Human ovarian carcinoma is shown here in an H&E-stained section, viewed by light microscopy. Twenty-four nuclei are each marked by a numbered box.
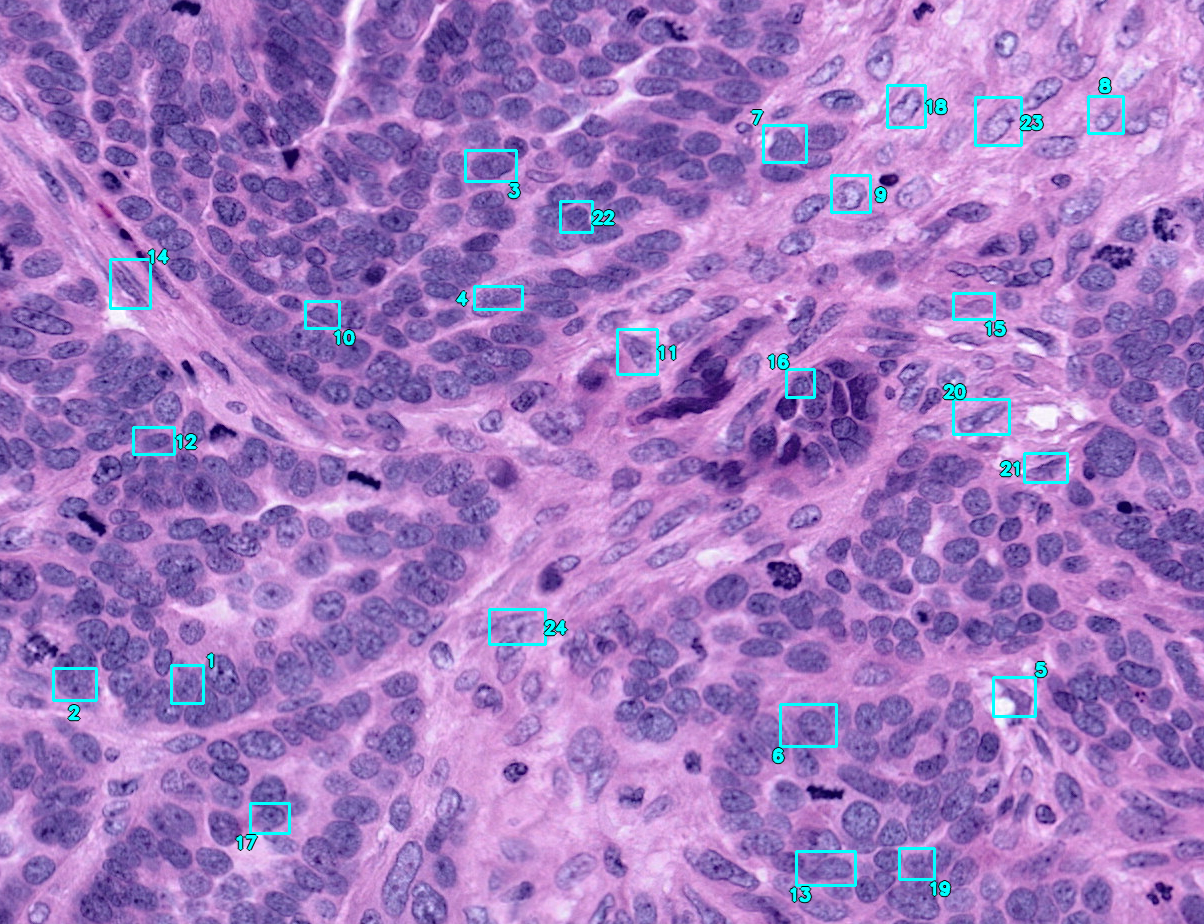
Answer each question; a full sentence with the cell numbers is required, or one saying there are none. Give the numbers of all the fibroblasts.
The cells referred to by numbers 5, 8, 9, 11, 14, 15, 18, 20, 21, 23 and 24 are fibroblasts.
